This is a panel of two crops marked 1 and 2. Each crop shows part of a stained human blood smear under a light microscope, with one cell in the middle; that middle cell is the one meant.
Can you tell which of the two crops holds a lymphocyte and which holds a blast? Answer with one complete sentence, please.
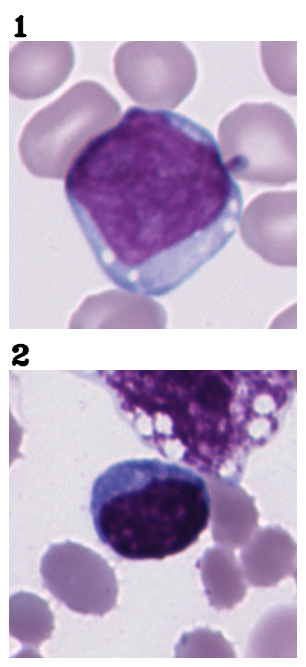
Crop 1 depicts a blast, and a lymphocyte is depicted in crop 2.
